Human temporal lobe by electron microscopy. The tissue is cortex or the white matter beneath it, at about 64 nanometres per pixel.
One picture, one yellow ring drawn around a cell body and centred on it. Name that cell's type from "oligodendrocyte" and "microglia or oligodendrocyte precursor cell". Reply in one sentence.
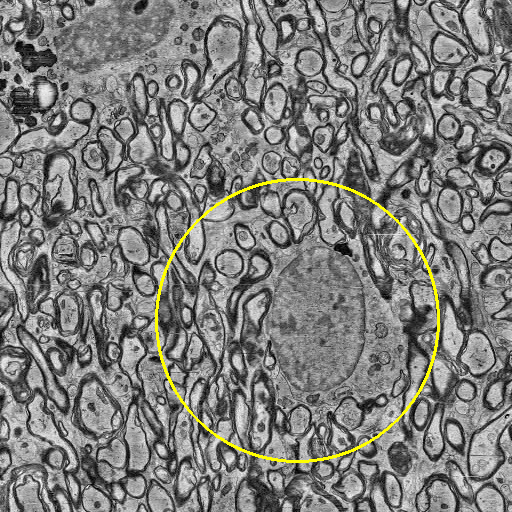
Centred in the ring is an oligodendrocyte.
